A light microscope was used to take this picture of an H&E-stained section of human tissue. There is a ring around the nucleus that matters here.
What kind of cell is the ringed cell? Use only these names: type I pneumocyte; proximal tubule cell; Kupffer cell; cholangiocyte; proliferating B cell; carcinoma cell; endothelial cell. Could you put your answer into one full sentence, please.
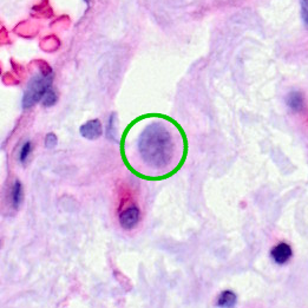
To be brief about it, the ringed cell is an endothelial cell.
